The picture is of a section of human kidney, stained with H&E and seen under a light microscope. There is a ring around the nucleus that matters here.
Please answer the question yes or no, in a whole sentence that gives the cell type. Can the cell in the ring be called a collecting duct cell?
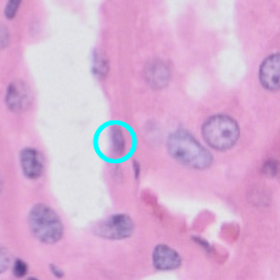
No, the cell in the ring is classed as a loop of Henle or distal tubule cell, not a collecting duct cell.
